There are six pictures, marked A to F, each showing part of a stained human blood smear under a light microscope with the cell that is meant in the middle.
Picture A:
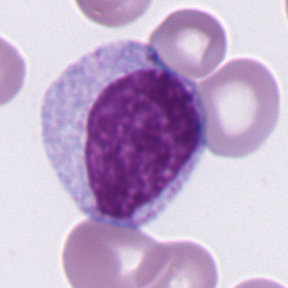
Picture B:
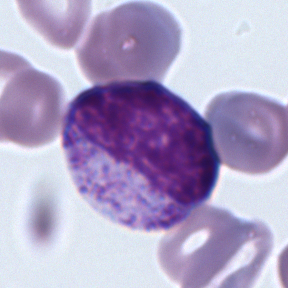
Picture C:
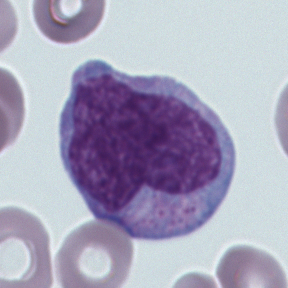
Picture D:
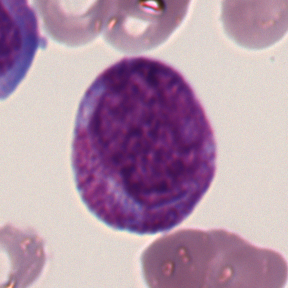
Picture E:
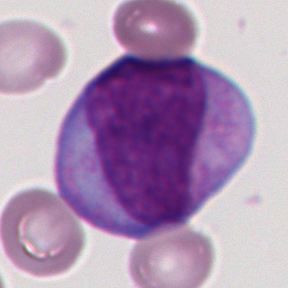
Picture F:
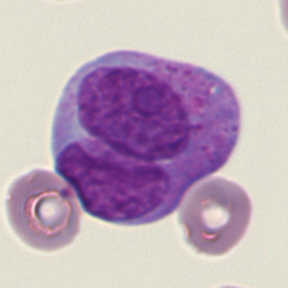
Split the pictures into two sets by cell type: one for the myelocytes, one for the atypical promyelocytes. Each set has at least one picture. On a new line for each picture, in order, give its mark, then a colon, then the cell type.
A: myelocyte
B: myelocyte
C: atypical promyelocyte
D: atypical promyelocyte
E: atypical promyelocyte
F: atypical promyelocyte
